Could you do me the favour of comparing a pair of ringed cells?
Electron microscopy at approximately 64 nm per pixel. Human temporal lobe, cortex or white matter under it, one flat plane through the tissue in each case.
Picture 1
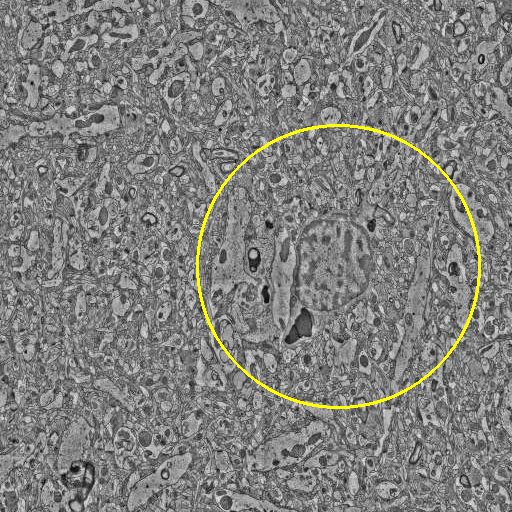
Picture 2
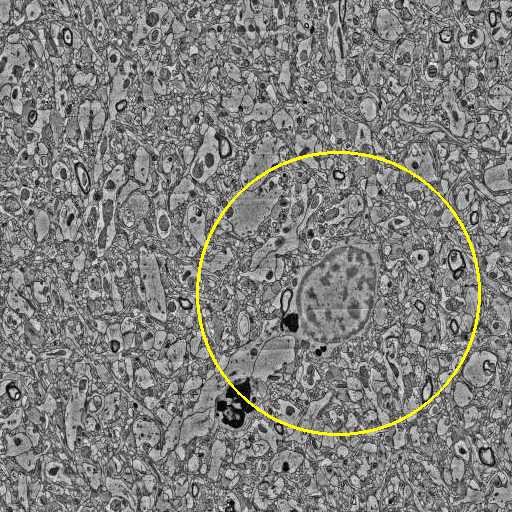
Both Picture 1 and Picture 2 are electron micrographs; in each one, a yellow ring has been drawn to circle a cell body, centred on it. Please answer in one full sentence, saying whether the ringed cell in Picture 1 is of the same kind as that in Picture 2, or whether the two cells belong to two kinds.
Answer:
The ringed cell in Picture 1 is of the same kind as that in Picture 2.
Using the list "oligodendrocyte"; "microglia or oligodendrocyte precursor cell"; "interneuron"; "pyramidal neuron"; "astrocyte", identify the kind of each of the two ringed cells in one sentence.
In each of the two pictures, the ringed cell is an oligodendrocyte.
